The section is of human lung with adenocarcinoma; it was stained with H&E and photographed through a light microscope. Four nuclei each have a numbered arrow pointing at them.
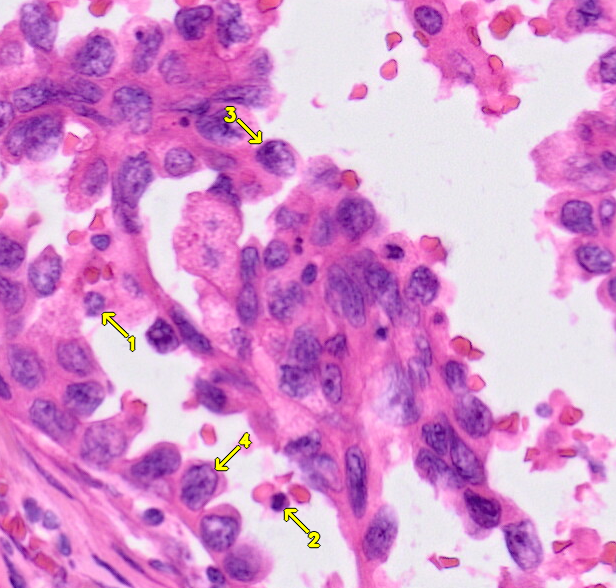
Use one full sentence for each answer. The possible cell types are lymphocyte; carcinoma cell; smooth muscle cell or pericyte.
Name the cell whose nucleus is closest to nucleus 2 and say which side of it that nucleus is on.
Just above and to the right of nucleus 2 lies the nearest nucleus, which belongs to a carcinoma cell.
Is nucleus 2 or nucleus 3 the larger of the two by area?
Of the two, number 3 is bigger and takes up about 4 times the area of number 2.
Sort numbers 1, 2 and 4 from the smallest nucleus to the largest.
By area, going up from the smallest, they rank 2, 1, 4.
